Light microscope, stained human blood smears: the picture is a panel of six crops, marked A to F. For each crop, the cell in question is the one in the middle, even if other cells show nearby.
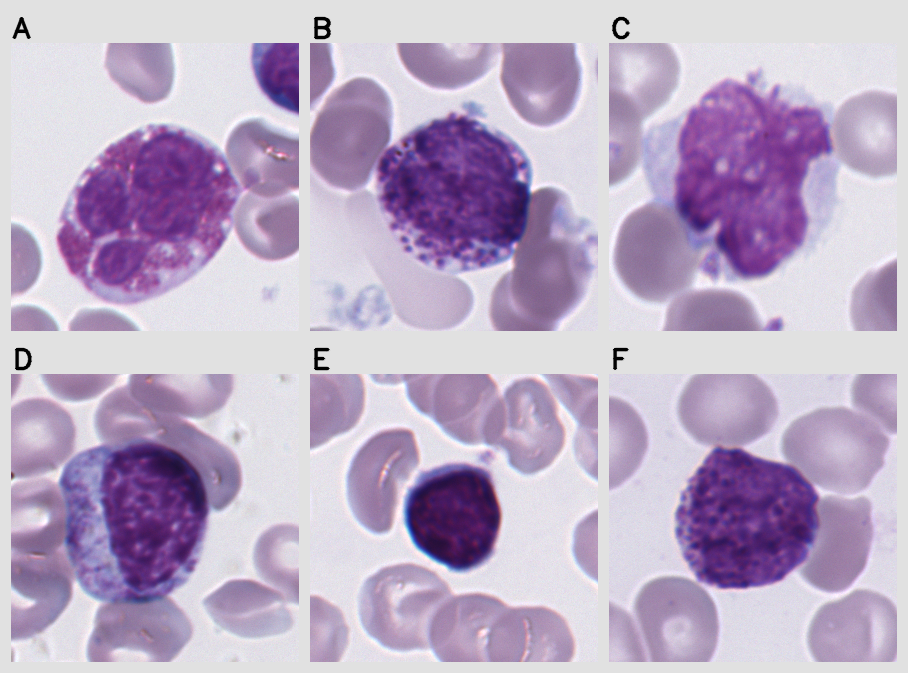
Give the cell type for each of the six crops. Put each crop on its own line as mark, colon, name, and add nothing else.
A: eosinophil
B: basophil
C: monocyte
D: myelocyte
E: typical lymphocyte
F: basophil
